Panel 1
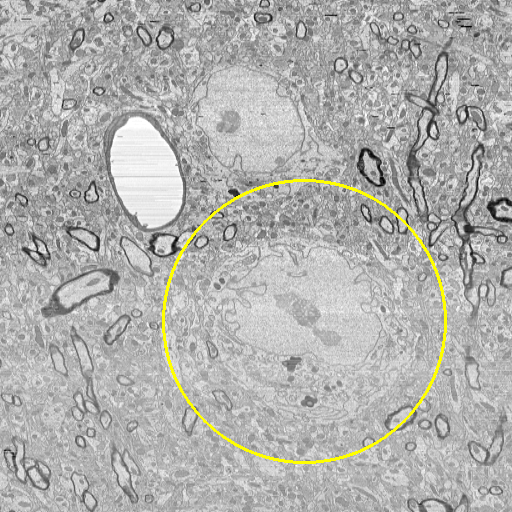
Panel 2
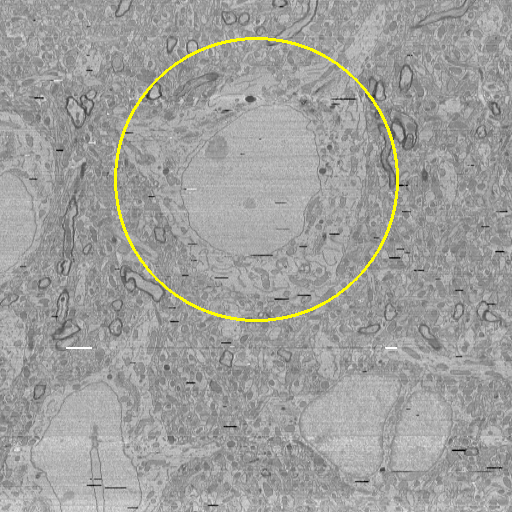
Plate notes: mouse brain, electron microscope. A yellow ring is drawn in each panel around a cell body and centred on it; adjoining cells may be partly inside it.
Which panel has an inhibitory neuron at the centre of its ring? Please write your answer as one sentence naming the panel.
The ring in Panel 1 is centred on such a cell.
